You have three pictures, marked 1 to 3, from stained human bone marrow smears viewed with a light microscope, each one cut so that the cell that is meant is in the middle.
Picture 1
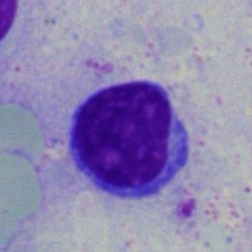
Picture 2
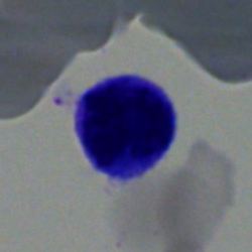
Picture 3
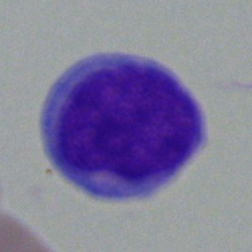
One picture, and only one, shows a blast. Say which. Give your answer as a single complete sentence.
The blast is the one in picture 3.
